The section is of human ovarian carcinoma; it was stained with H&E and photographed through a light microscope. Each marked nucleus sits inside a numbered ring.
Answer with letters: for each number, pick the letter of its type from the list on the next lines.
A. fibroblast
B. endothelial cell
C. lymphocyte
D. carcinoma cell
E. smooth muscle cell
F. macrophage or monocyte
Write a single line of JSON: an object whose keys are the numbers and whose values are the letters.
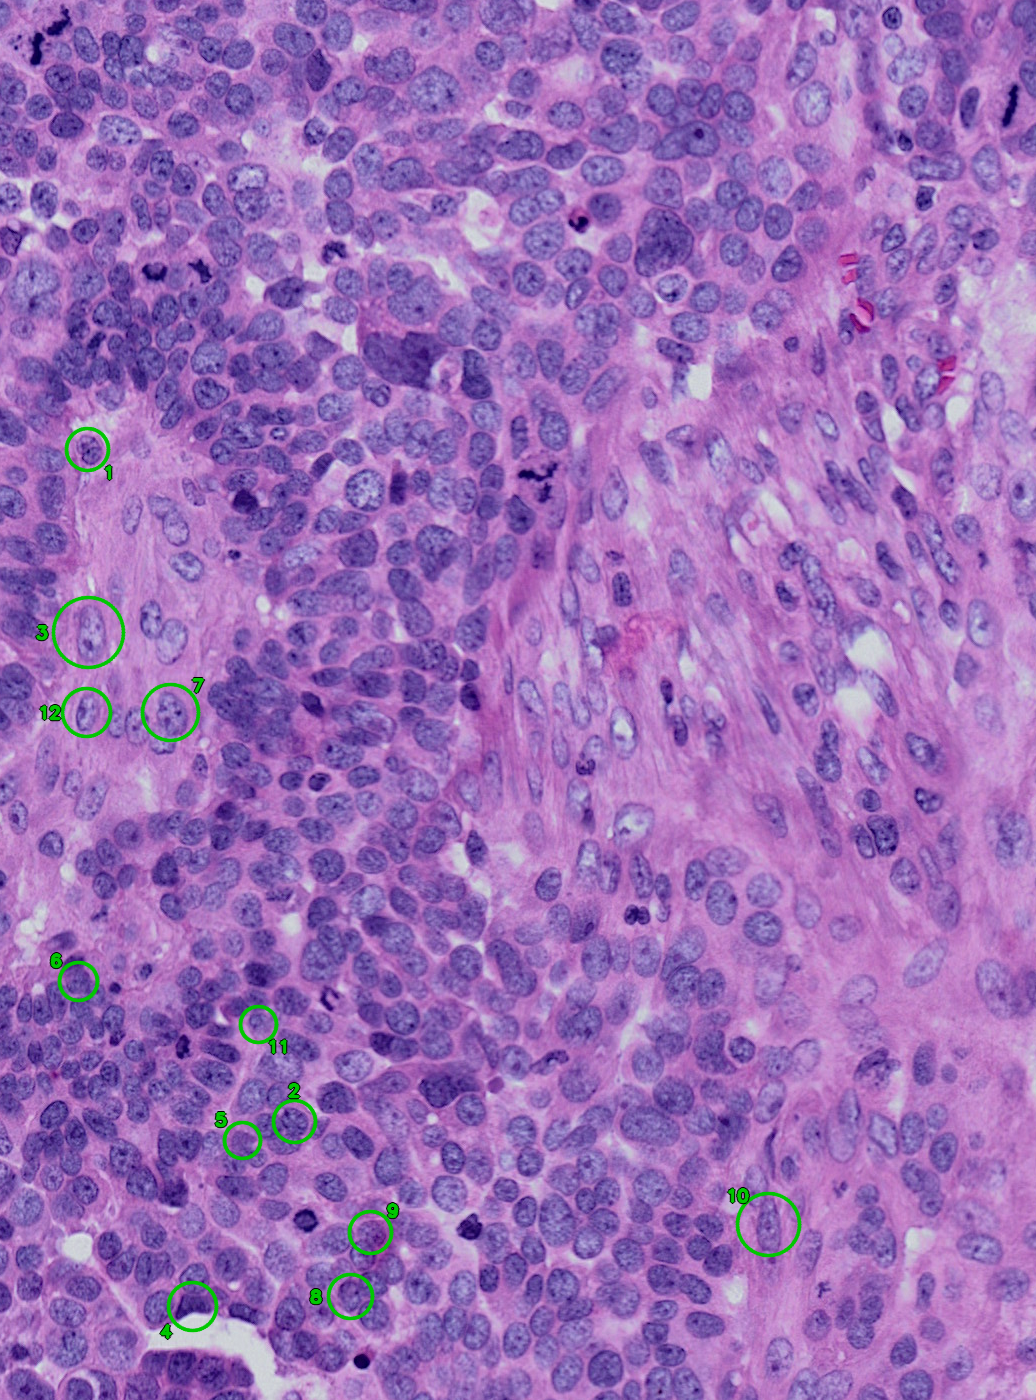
{"1": "F", "2": "D", "3": "A", "4": "D", "5": "D", "6": "D", "7": "A", "8": "D", "9": "D", "10": "A", "11": "D", "12": "A"}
